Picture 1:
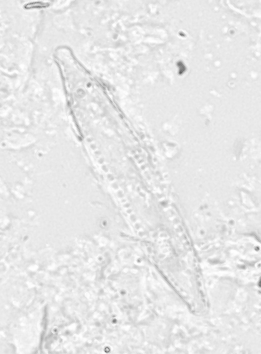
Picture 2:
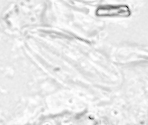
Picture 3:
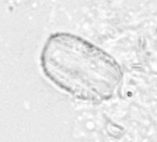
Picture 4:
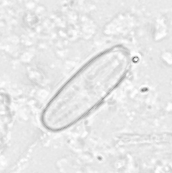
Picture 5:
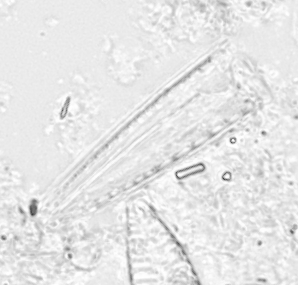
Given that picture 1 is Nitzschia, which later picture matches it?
5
